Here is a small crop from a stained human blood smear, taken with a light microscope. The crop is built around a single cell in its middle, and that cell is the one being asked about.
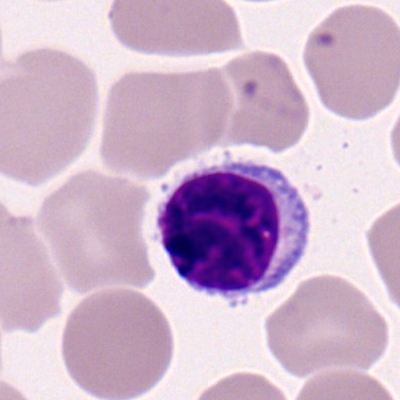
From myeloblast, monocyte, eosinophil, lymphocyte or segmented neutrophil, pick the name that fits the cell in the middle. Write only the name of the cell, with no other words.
lymphocyte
